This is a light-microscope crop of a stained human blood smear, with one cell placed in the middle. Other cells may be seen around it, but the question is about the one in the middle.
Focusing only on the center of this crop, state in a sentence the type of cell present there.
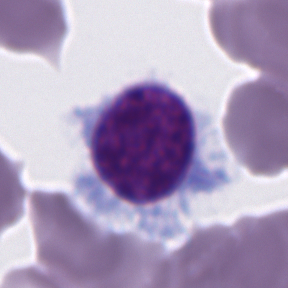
The identification for the central cell is a hairy cell.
